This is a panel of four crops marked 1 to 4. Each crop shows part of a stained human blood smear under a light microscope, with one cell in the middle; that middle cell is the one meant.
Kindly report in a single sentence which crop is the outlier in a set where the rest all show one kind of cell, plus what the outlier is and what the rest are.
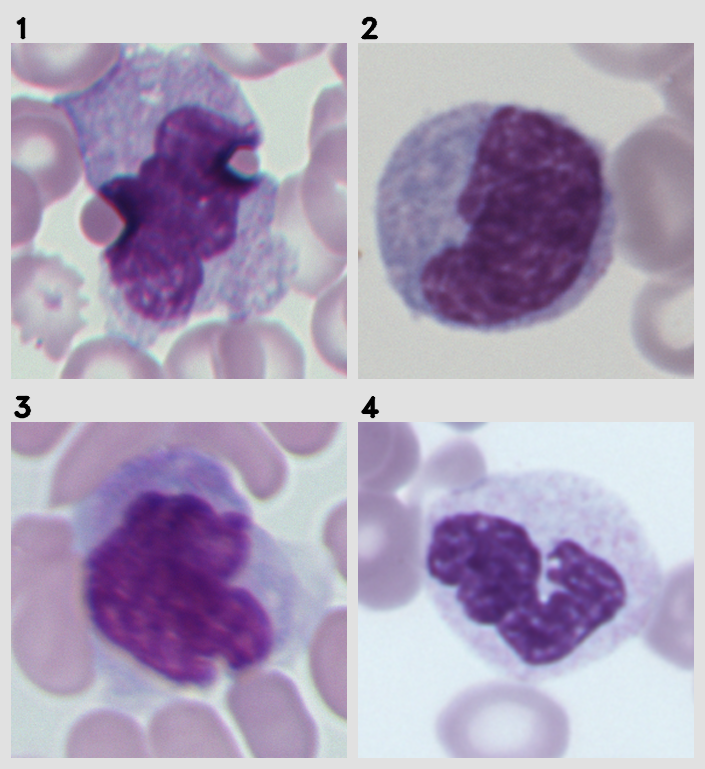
The exception in this group is crop 4, a neutrophil, and the others are all monocytes.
